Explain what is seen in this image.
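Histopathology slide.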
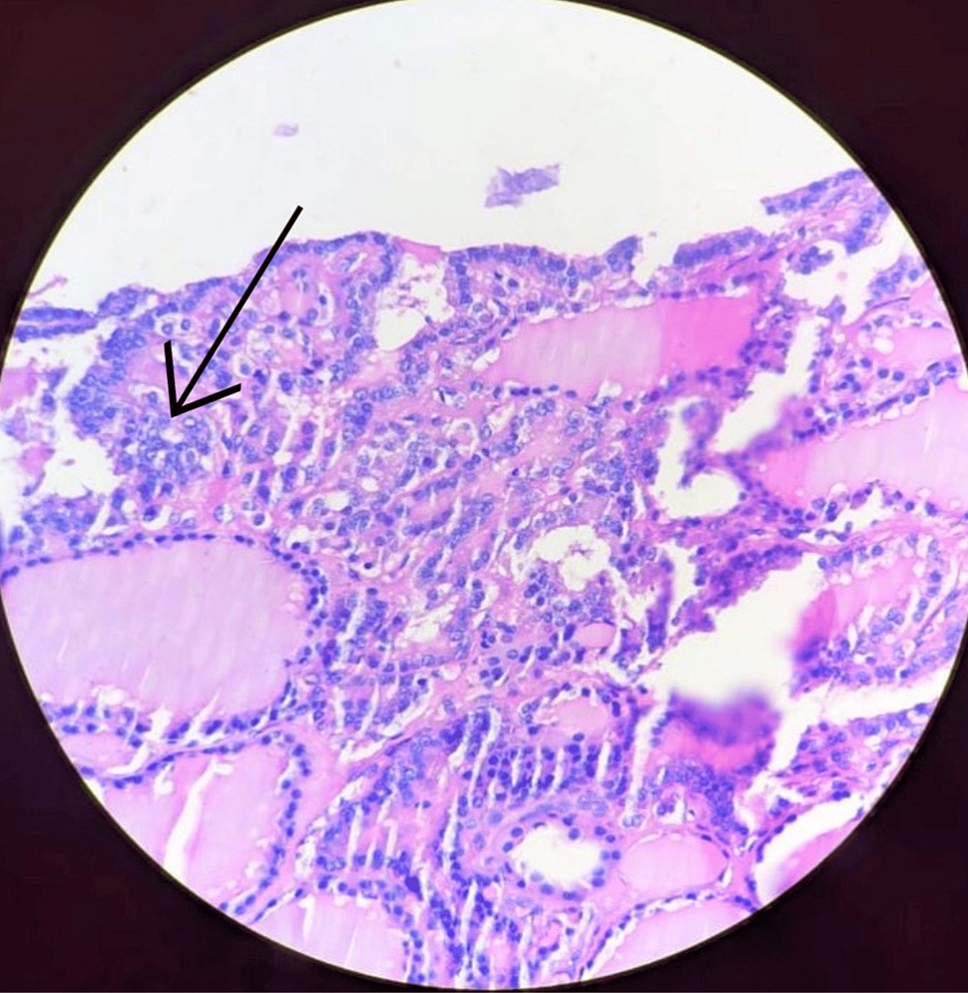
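This is thyroid tissue. Large follicles filled with smooth pink colloid are lined by a single layer of small cuboidal epithelial cells. Between them lies a crowded area of epithelial cells arranged in small clusters and tiny gland-like spaces with little colloid. In the area the arrow marks, the nuclei are crowded and overlap. Many look pale or empty in the centre, with the chromatin pushed to a darker rim at the nuclear edge. This gives a clear, ground-glass look that differs from the dark, evenly stained nuclei lining the normal follicles. Pink fibrous strands run between the clusters.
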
